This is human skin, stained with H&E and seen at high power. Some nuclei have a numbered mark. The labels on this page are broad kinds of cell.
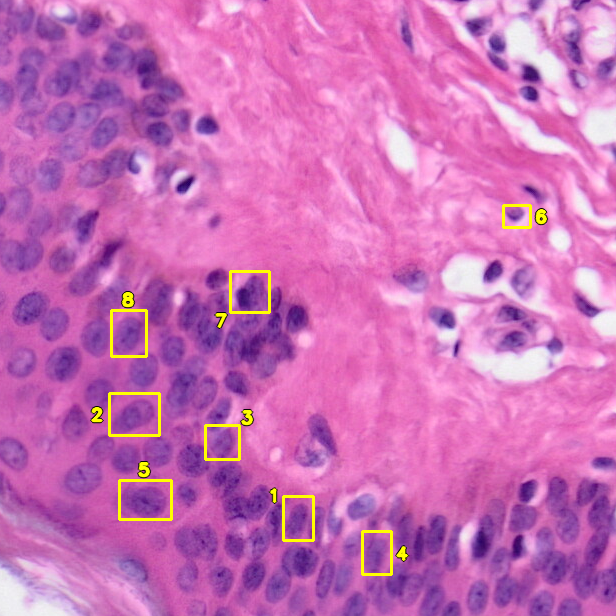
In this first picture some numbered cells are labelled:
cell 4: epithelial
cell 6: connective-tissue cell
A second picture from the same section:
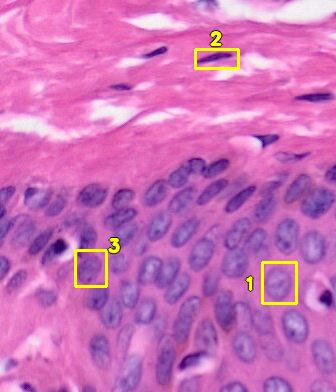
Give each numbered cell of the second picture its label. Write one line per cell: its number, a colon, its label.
1: epithelial
2: connective-tissue cell
3: epithelial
